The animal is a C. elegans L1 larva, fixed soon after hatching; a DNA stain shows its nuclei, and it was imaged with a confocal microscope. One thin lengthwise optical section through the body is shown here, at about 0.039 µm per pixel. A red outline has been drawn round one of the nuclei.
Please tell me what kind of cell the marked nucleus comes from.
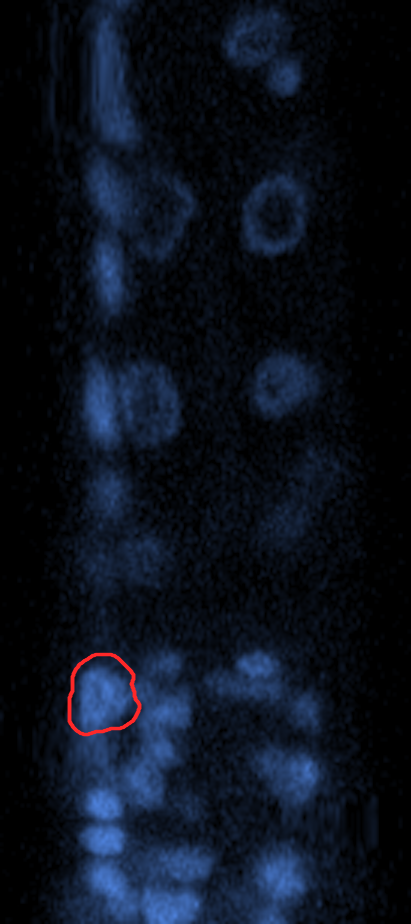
body wall muscle cell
